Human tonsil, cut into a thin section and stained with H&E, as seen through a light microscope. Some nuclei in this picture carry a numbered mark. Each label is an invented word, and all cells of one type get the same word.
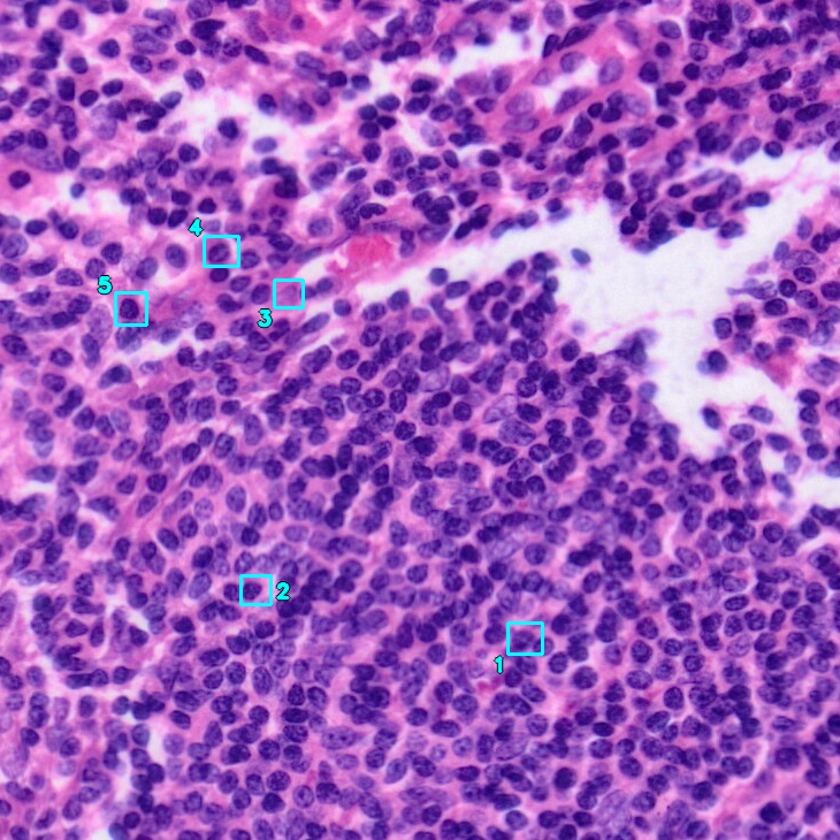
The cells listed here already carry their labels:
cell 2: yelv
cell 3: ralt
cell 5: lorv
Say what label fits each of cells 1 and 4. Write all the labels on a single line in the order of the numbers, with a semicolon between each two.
yelv; lorv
